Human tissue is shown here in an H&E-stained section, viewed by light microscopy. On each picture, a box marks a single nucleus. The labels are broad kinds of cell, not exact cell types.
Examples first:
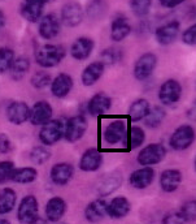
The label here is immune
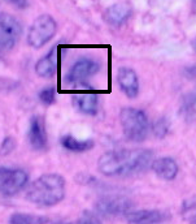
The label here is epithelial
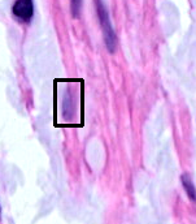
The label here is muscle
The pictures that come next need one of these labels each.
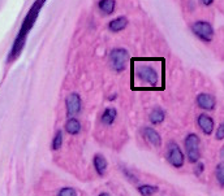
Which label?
muscle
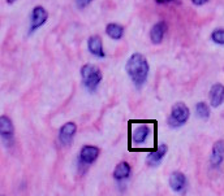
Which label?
muscle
